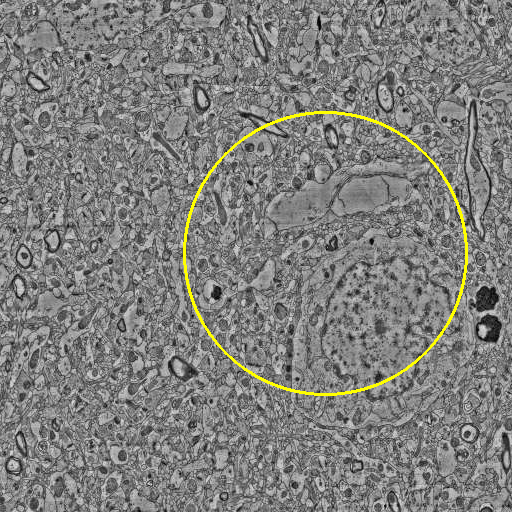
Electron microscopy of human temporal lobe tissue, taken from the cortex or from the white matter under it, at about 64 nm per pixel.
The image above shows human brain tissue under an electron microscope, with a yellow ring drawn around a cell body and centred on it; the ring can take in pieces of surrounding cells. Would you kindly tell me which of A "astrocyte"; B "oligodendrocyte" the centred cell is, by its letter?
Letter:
B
